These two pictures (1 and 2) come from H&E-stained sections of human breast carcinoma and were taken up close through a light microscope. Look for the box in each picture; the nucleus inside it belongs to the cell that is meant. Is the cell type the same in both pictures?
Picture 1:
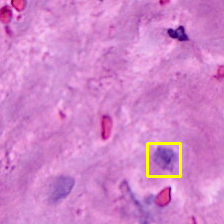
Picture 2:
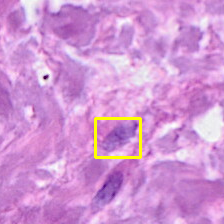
yes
